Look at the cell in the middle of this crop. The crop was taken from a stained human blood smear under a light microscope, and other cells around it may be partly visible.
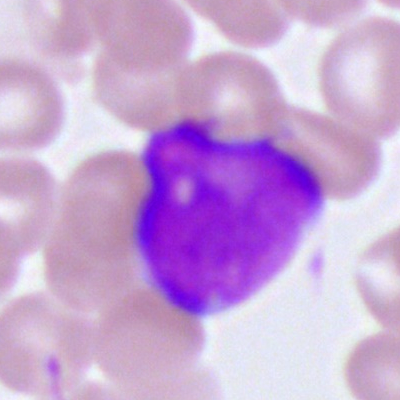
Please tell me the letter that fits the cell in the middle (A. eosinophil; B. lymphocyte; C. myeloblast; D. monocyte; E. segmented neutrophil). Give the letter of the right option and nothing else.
C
